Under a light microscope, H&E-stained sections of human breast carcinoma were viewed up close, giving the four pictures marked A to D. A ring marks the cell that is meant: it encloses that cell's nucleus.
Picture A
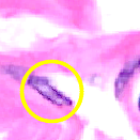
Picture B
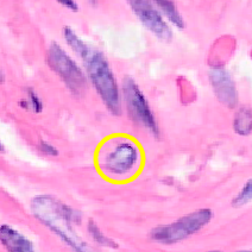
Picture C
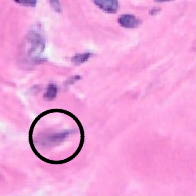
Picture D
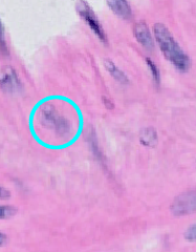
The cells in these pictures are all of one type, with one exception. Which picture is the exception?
C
